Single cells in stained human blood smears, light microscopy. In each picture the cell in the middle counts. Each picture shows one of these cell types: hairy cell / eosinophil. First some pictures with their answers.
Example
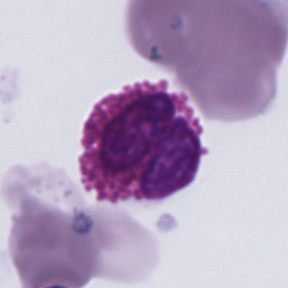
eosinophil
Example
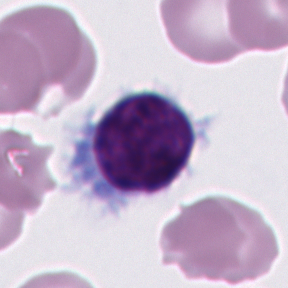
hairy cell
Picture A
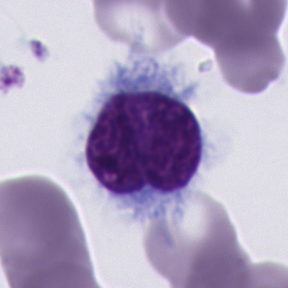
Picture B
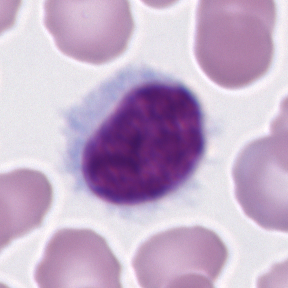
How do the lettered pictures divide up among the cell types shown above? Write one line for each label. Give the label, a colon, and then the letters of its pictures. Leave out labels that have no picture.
hairy cell: A, B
